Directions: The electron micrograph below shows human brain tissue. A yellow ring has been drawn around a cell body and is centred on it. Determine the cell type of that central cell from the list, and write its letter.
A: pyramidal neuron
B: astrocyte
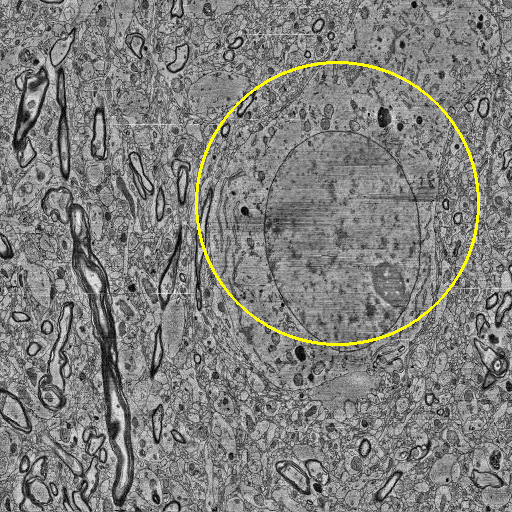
A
